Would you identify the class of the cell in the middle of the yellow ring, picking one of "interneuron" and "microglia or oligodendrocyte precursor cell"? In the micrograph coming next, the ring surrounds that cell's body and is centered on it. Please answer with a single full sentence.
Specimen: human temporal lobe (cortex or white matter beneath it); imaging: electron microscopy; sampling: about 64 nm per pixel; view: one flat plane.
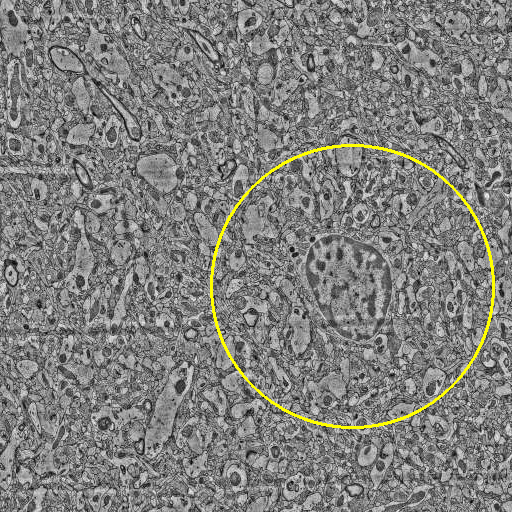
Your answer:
In the micrograph, it is a microglial cell or oligodendrocyte precursor cell whose body lies at the ring's center.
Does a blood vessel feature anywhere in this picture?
No, there is none.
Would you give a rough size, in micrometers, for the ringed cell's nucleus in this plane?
The nucleus comes to roughly 7 by 5 micrometres in this plane.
